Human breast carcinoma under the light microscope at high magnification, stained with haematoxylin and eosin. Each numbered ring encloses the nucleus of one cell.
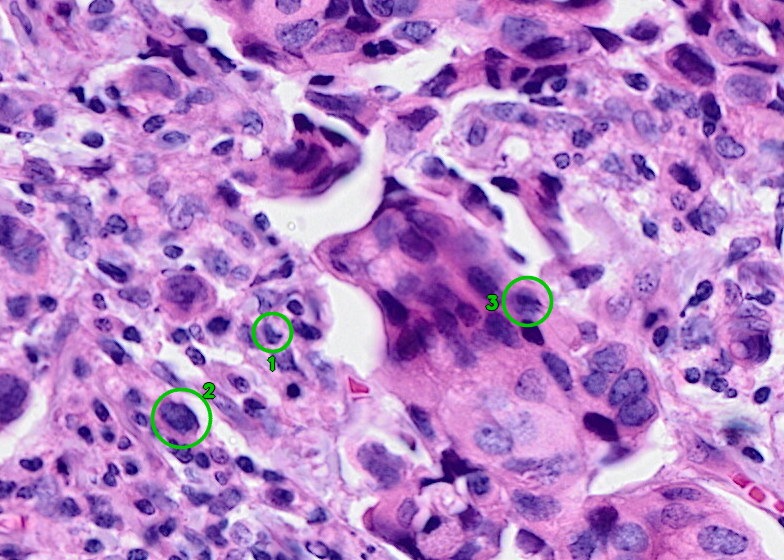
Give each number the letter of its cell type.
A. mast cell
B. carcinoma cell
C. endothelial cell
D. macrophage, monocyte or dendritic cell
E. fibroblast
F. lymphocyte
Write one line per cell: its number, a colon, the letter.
1: F
2: B
3: B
